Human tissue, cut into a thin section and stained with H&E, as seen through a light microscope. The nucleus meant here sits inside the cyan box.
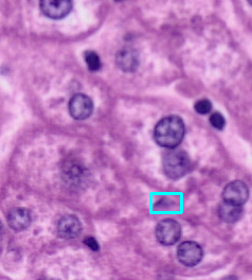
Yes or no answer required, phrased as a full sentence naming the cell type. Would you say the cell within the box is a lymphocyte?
No, the right answer is that the cell within the box is an endothelial cell, not a lymphocyte.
